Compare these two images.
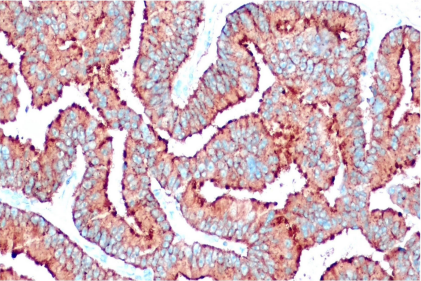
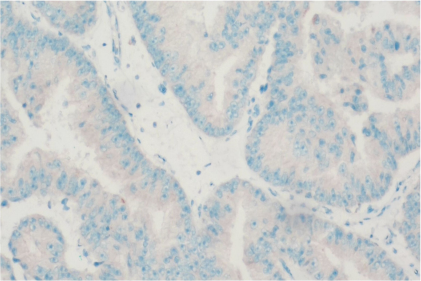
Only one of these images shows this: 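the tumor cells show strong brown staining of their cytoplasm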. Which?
the first image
